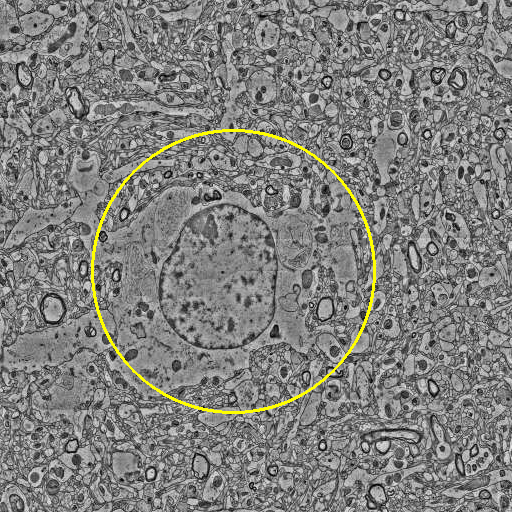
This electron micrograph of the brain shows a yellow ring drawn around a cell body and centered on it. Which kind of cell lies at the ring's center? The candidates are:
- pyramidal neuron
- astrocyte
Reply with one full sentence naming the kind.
The cell lying at the ring's center in this micrograph is an astrocyte.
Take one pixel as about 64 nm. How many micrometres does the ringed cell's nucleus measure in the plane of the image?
About 9 by 8 micrometers, in this plane.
